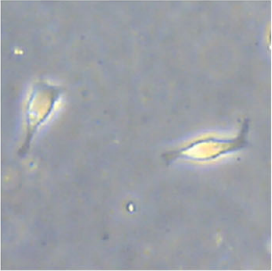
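The cell bodies are bright and refractile with a yellowish halo, which shows they are thick and only partly flattened. There are no broad, spread sheets of cytoplasm, and no contact between cells. The background between the cells is empty apart from a few small specks.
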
